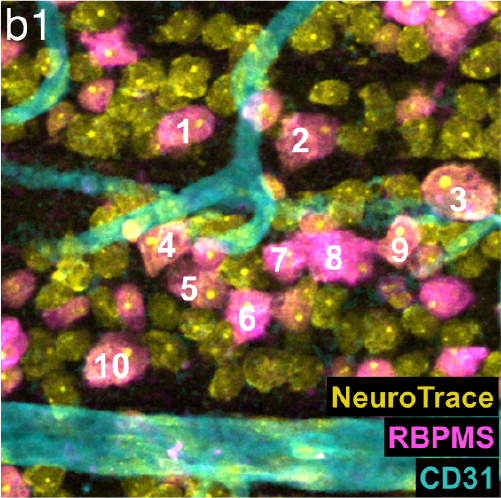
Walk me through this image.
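Flat view of retina showing densely packed neuronal cell bodies among blood vessels. Most cell bodies are small, round to oval and yellow, often with a brighter yellow dot inside, lying close side by side. Cyan tubes cross the field: a broad vessel runs along the bottom and thinner branching capillaries cross the upper half, passing between and over the cell bodies. Dark gaps separate some groups of cells.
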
